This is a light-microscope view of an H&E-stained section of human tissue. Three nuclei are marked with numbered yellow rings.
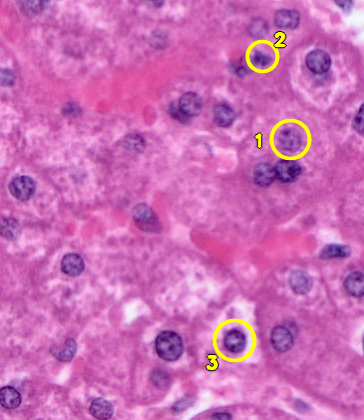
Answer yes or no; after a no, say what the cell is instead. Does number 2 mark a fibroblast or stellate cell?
Yes.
